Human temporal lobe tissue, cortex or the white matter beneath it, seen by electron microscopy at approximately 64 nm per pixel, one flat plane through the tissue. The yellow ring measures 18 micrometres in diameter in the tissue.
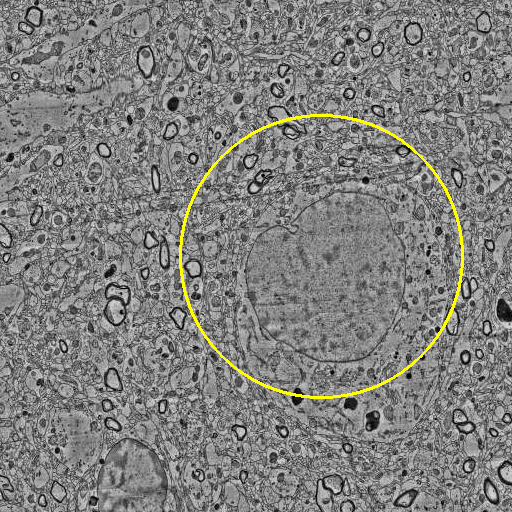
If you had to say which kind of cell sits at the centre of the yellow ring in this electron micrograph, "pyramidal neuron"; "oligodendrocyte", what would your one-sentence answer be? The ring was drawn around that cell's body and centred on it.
The cell sitting at the centre of the ring is a pyramidal neuron.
